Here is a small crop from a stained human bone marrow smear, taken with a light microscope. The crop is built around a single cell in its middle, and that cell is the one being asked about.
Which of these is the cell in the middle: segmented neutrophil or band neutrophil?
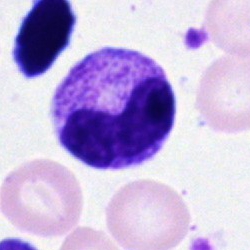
band neutrophil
